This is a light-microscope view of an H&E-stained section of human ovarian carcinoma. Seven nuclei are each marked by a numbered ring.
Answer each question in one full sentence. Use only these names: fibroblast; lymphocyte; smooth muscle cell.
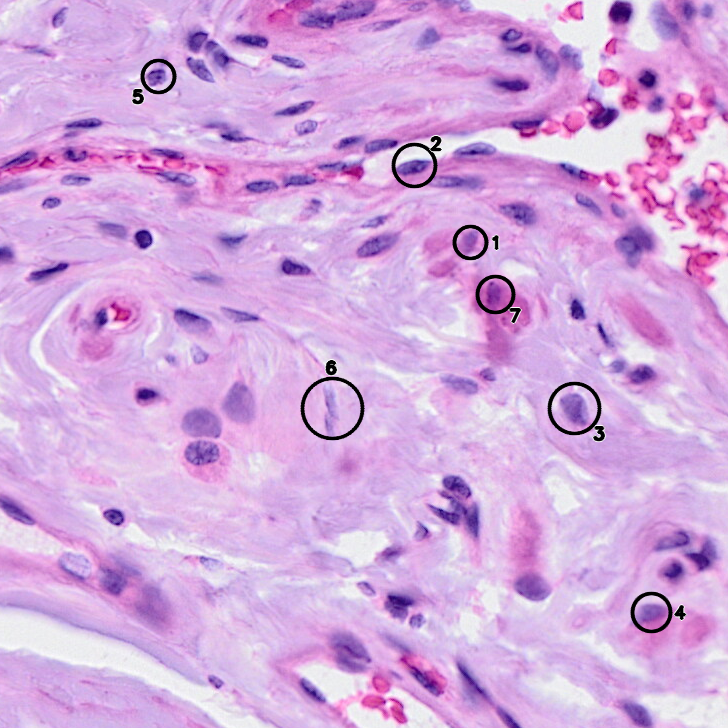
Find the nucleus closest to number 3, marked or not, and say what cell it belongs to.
Closest to number 3 lies the nucleus of a lymphocyte.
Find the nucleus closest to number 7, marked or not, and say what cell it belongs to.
Closest to number 7 lies the nucleus of a smooth muscle cell.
